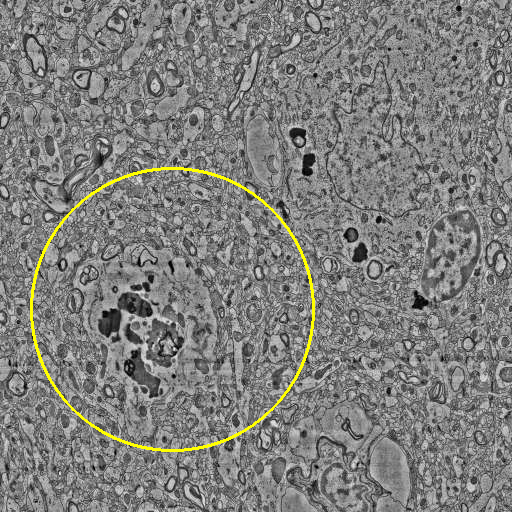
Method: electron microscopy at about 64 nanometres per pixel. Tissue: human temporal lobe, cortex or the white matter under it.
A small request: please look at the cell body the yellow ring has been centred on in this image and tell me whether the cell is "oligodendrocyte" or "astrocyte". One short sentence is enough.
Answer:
The cell marked by the ring is an astrocyte.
